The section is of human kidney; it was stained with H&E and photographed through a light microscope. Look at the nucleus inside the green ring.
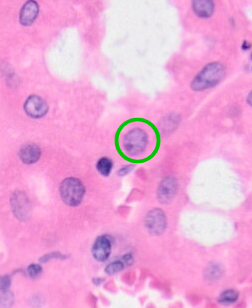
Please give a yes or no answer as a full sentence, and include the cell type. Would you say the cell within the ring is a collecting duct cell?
No, the cell within the ring is a proximal tubule cell instead of a collecting duct cell.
